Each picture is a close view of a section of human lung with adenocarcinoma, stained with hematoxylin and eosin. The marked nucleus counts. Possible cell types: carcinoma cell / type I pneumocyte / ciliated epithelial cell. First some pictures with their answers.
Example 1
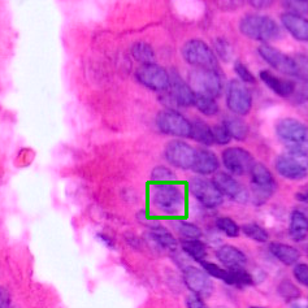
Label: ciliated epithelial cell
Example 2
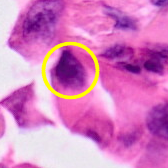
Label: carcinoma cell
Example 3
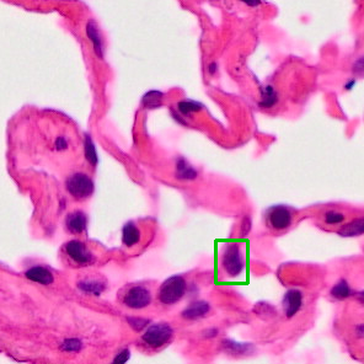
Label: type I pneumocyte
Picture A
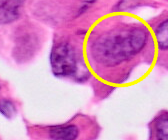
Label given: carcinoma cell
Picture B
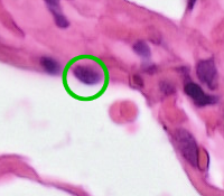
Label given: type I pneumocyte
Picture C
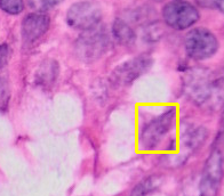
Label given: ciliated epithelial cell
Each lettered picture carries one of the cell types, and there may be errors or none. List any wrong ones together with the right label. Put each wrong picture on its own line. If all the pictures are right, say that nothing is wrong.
Every label is right.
